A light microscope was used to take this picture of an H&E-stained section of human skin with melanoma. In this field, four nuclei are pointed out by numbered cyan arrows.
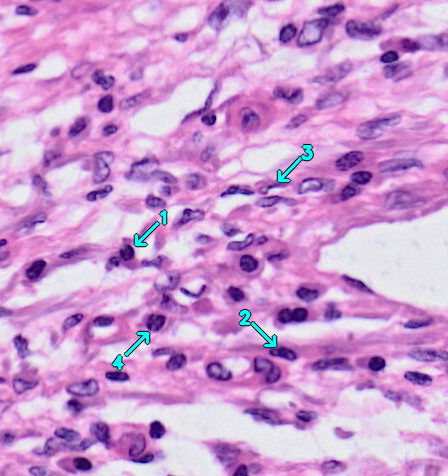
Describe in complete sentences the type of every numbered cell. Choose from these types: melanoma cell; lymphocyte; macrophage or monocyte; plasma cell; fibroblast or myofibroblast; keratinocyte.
Cell 1 is a plasma cell, cell 2 is a plasma cell, cell 3 is a fibroblast or myofibroblast and cell 4 is a plasma cell.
